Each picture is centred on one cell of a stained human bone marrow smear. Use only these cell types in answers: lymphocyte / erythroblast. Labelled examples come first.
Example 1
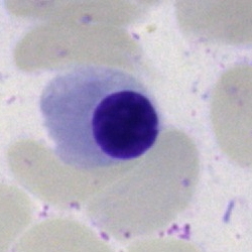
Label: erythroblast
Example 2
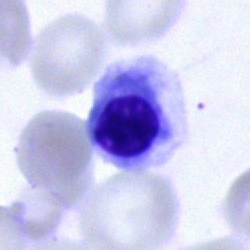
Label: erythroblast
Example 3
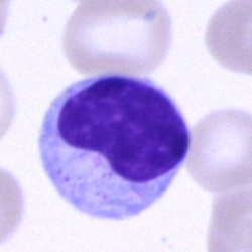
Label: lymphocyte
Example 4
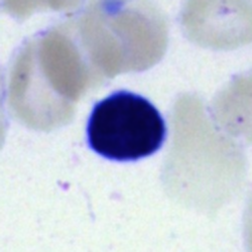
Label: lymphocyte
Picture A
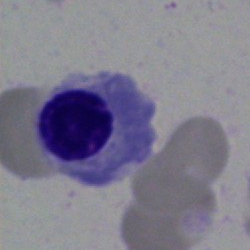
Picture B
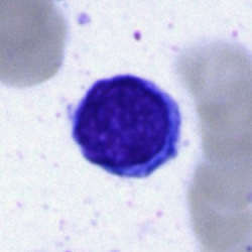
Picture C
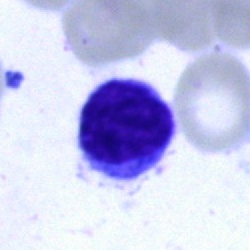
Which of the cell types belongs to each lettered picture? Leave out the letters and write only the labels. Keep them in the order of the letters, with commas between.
erythroblast, lymphocyte, lymphocyte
